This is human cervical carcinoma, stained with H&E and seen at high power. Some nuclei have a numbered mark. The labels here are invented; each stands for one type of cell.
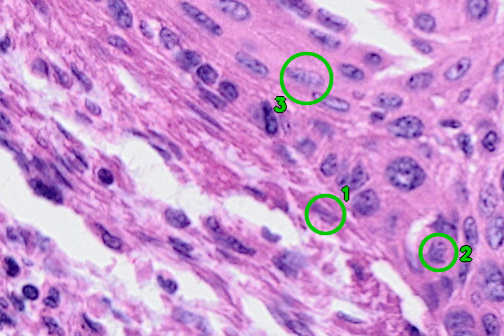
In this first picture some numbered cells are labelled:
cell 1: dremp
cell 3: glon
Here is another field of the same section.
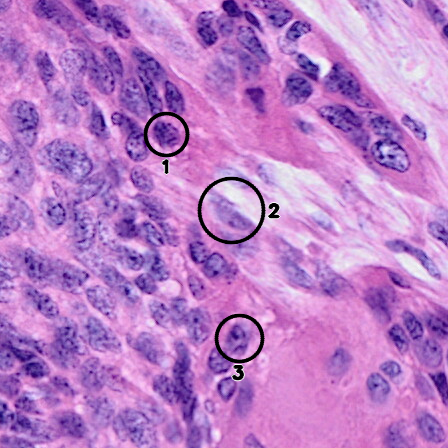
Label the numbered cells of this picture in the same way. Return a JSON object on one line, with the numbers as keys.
{"1": "glon", "2": "dremp", "3": "glon"}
